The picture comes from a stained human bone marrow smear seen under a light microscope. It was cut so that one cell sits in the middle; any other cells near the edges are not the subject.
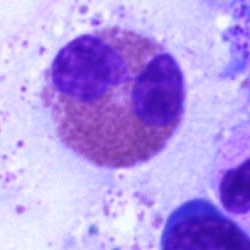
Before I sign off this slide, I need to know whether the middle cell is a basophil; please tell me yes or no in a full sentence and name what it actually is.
No, it is not a basophil that lies in the middle but an eosinophil.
